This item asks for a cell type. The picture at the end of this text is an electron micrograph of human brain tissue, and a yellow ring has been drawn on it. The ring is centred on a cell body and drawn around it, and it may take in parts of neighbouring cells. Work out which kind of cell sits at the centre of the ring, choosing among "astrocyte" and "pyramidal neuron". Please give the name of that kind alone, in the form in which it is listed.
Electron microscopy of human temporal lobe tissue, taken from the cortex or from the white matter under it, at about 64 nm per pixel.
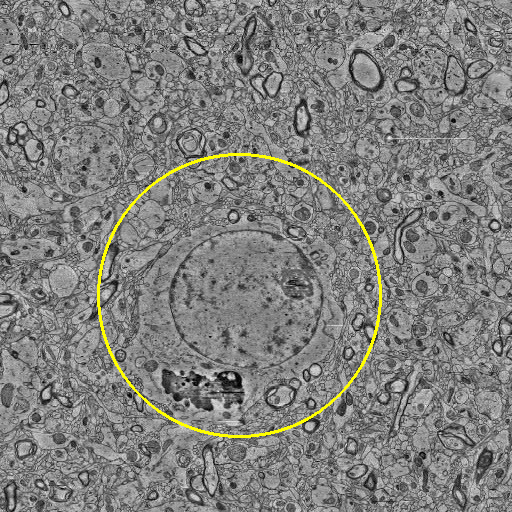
astrocyte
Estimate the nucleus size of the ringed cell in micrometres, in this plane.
The nucleus of the ringed cell is approximately 10 micrometres across in this plane.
